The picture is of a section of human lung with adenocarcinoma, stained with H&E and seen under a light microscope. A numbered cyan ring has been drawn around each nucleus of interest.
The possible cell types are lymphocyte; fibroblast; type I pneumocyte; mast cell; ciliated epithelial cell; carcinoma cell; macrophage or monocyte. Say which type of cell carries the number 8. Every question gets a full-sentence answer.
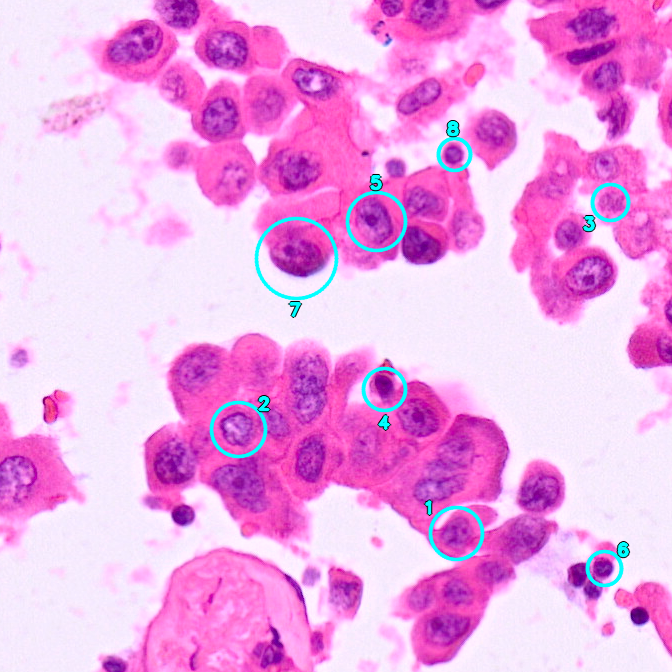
Classified as a lymphocyte is the cell with the number 8.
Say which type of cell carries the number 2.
What the number 2 marks in this field is a carcinoma cell.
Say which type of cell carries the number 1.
Cell number 1 in this section is a carcinoma cell.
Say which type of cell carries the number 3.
Cell 3 is classified as a macrophage or monocyte.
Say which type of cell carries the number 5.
At number 5, the marked cell is a carcinoma cell.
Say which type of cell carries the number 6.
The cell marked with the number 6 is a lymphocyte.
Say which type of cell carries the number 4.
Number 4 among the marked cells is a carcinoma cell.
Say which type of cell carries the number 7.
The cell numbered 7 has been identified as a carcinoma cell.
